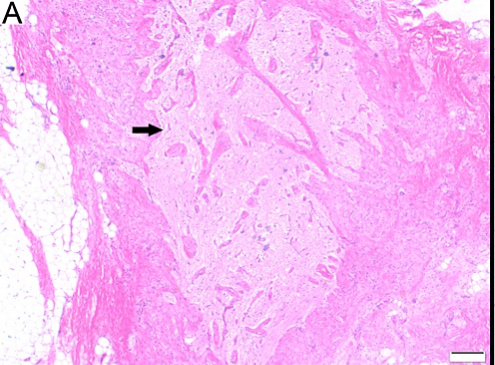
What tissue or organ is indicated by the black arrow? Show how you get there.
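Glial tissue. Pale pink, finely fibrillary tissue where the arrow points. Few scattered small nuclei in a loose pink matrix. Fatty tissue with empty vacuoles at the left edge.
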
